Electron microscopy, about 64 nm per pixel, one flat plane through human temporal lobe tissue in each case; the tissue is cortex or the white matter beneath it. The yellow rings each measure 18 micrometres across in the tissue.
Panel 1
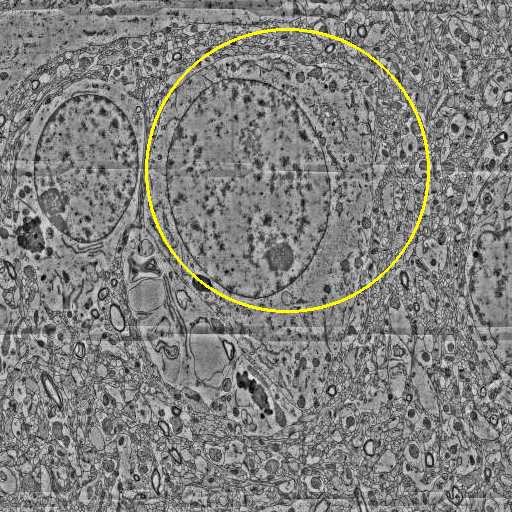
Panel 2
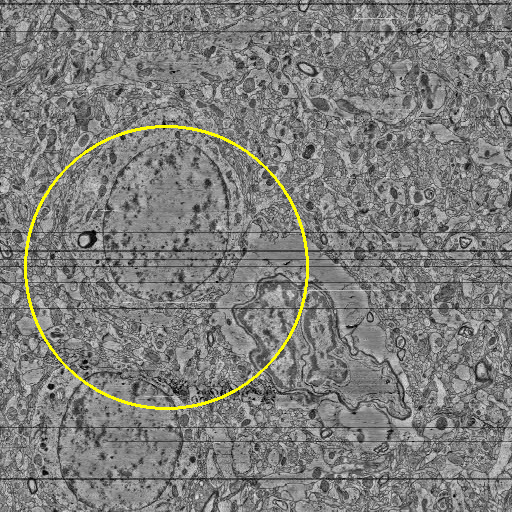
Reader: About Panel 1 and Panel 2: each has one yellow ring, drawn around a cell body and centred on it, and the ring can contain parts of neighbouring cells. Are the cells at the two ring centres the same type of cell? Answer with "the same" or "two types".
the same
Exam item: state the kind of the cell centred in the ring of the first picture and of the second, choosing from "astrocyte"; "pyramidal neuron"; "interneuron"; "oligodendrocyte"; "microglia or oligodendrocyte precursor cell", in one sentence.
The second cell is a pyramidal neuron, just as the first is.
